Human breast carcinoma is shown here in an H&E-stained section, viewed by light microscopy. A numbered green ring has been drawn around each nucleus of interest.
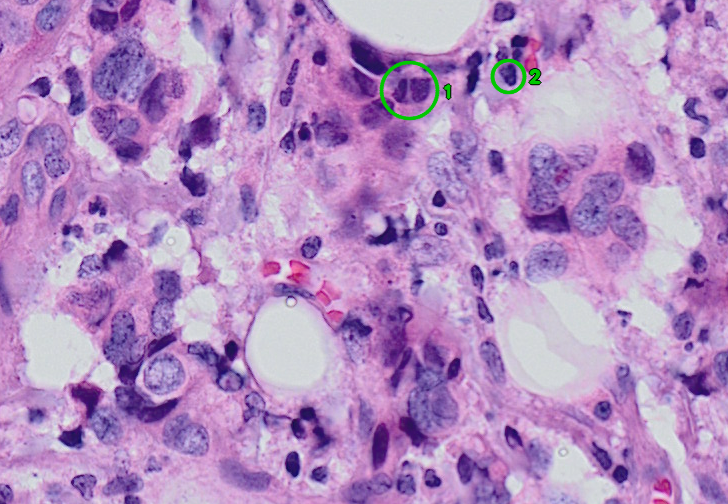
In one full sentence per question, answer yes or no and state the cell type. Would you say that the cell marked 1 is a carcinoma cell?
Yes, the cell that is numbered 1 is a carcinoma cell.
